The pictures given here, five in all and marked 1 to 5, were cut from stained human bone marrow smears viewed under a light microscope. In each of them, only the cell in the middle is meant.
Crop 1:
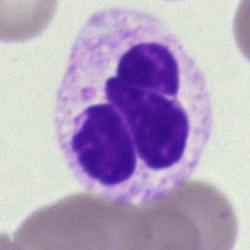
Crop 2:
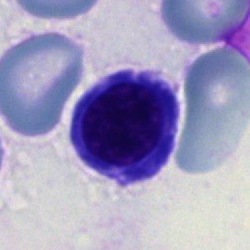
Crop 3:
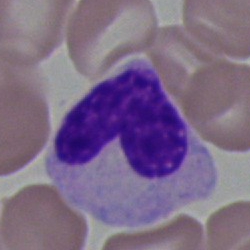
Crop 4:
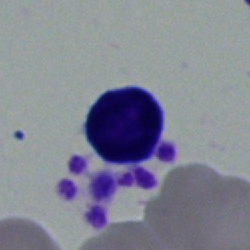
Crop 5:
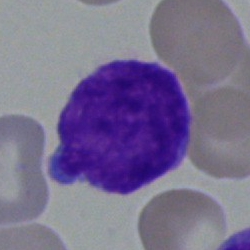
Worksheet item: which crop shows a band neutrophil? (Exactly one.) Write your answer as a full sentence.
Crop 3, of the crops presented, is the one showing a band neutrophil.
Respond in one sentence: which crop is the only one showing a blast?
The crop that has a blast in the middle is crop 5.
